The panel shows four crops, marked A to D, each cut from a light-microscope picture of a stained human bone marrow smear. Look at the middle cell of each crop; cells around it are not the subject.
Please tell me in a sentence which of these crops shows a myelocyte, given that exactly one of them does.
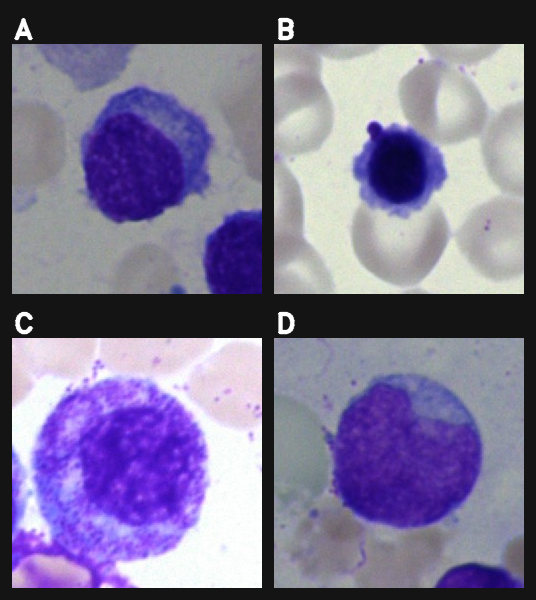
Crop C is where a myelocyte is to be found.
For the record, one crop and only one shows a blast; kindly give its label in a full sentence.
Of the crops given, a blast is found in crop D.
